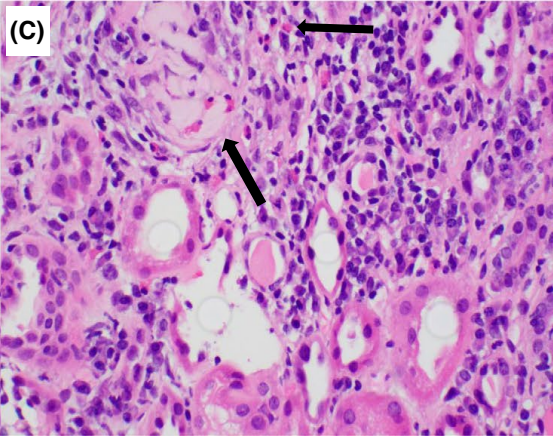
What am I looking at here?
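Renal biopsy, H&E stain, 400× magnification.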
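This is kidney cortex at high power, with tubules cut across and the space between them crowded by a mixed population of inflammatory cells. The tubules are lined by pink epithelial cells with round nuclei, some with open, empty-looking lumens and some with pink material inside. Between them lie many small cells with dark round nuclei, and among them are cells with bright red-pink cytoplasm, which are eosinophils.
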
